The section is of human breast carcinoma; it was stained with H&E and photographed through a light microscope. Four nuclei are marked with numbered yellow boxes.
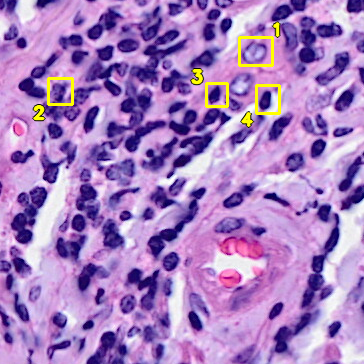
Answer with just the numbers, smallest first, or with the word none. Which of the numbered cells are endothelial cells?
1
